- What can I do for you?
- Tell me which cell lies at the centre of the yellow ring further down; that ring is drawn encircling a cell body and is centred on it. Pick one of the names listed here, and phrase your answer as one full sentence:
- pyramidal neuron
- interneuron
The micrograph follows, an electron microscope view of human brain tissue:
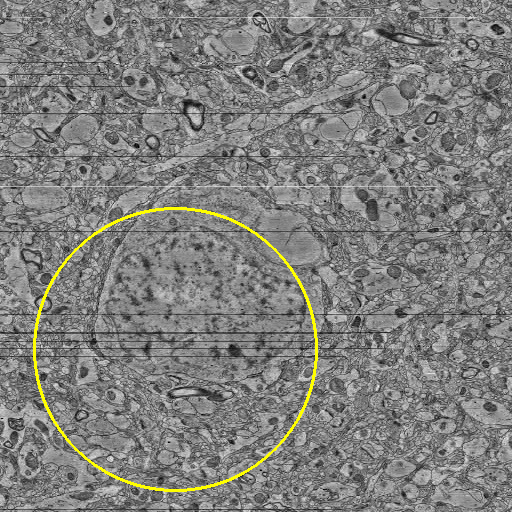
The cell whose body lies at the centre of the yellow ring is an interneuron.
